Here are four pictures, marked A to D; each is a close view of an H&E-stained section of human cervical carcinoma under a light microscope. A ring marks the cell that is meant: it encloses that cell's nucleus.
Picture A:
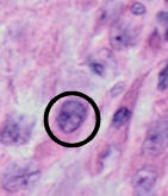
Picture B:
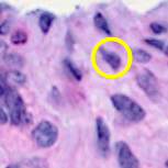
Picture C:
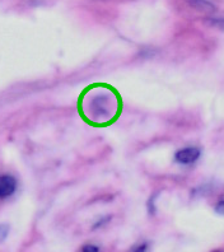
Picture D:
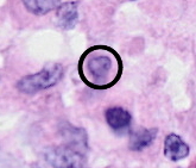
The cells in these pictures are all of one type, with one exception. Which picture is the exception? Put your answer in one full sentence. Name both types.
The others show “macrophages or monocytes”, but picture B shows a fibroblast.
